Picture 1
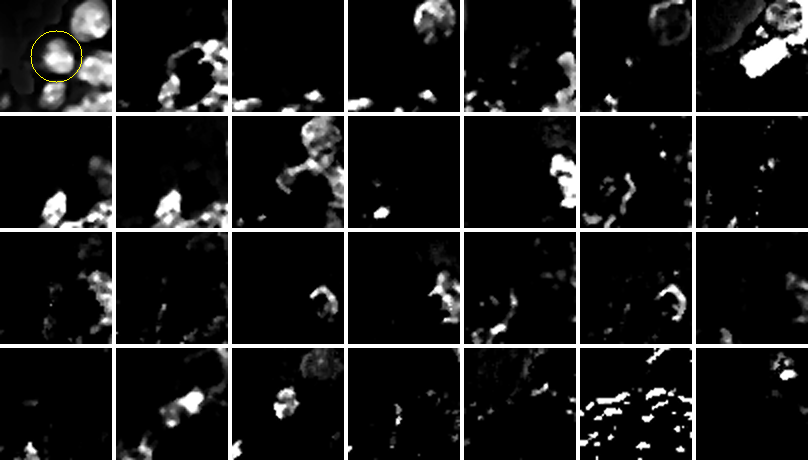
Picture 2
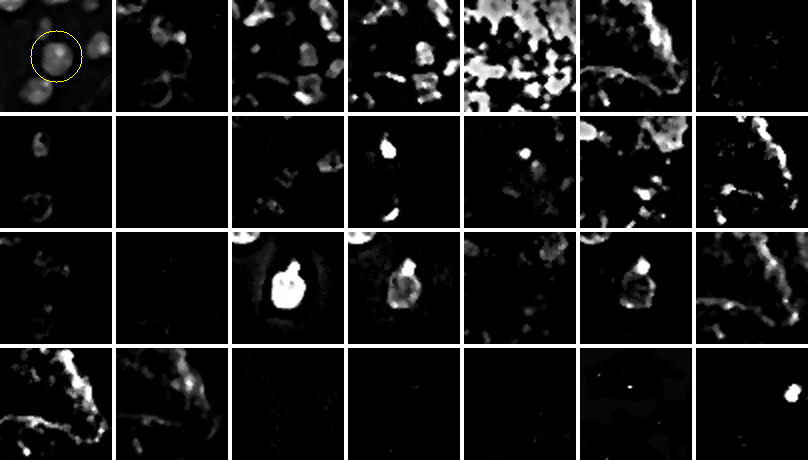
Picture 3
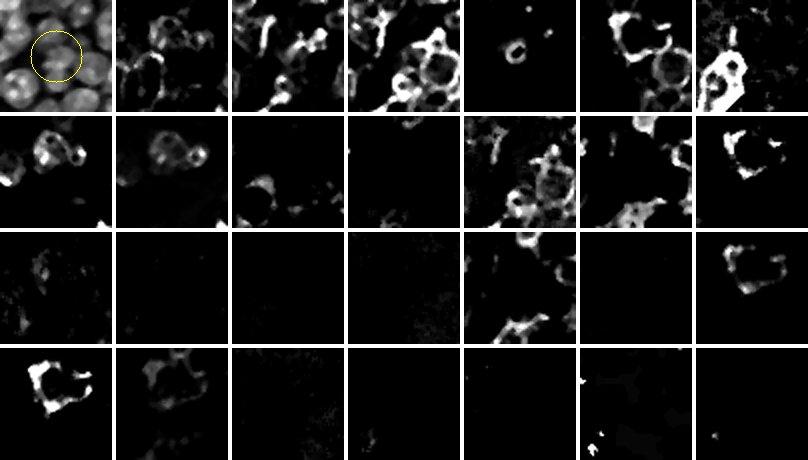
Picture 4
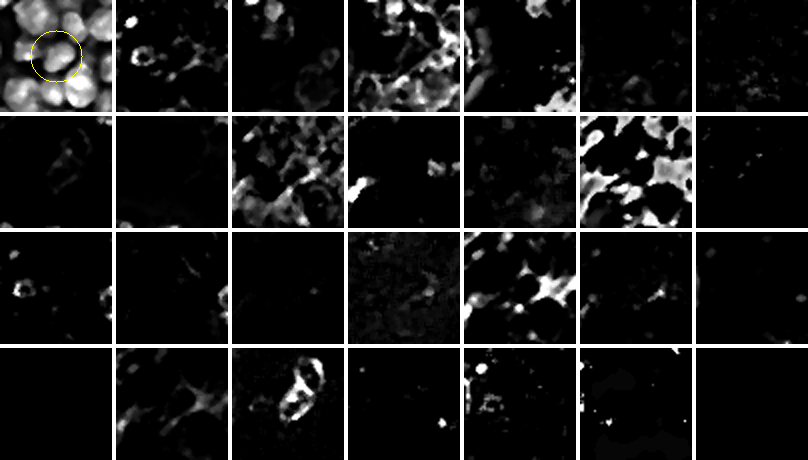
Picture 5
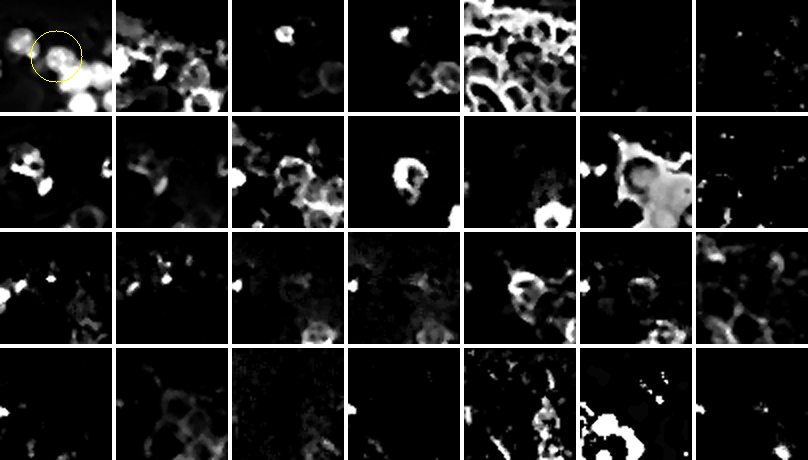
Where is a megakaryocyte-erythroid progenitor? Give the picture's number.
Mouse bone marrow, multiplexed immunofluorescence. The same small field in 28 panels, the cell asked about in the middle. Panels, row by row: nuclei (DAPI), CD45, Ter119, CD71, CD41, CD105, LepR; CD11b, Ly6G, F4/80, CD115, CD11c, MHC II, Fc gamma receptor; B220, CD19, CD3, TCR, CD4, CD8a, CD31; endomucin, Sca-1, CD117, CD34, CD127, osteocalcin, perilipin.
4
